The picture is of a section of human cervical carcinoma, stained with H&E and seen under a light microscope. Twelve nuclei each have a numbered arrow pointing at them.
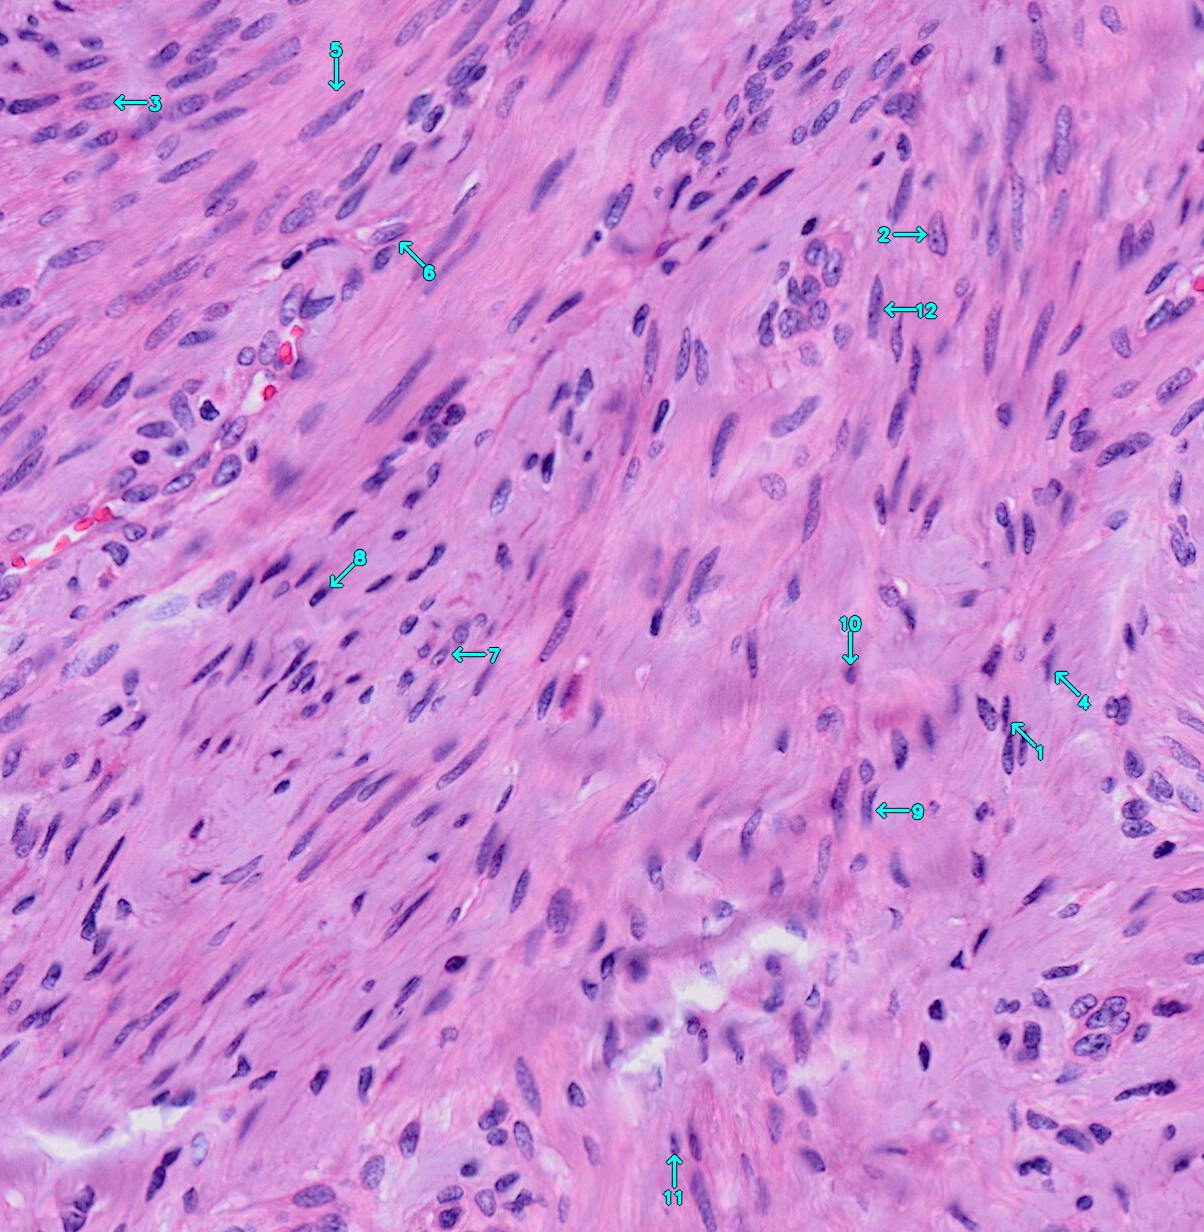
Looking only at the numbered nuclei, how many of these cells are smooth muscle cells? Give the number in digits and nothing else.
4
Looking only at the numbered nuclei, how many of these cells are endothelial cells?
1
